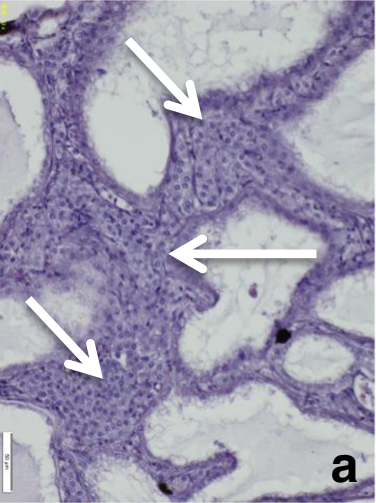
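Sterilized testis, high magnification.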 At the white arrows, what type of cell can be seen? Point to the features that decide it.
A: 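The arrows point to dense clusters of cells lying between the lumina. The clustered cells are closely packed with round nuclei. The clusters sit outside the thin epithelial layer lining the lumina. So: steroid-producing cells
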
